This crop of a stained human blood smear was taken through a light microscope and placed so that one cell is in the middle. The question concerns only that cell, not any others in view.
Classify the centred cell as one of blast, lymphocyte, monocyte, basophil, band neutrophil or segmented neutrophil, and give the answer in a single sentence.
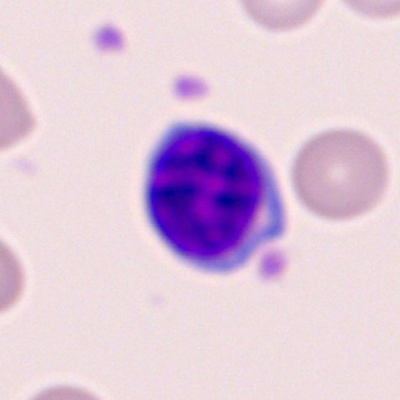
The target cell in the middle of the crop is a lymphocyte.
